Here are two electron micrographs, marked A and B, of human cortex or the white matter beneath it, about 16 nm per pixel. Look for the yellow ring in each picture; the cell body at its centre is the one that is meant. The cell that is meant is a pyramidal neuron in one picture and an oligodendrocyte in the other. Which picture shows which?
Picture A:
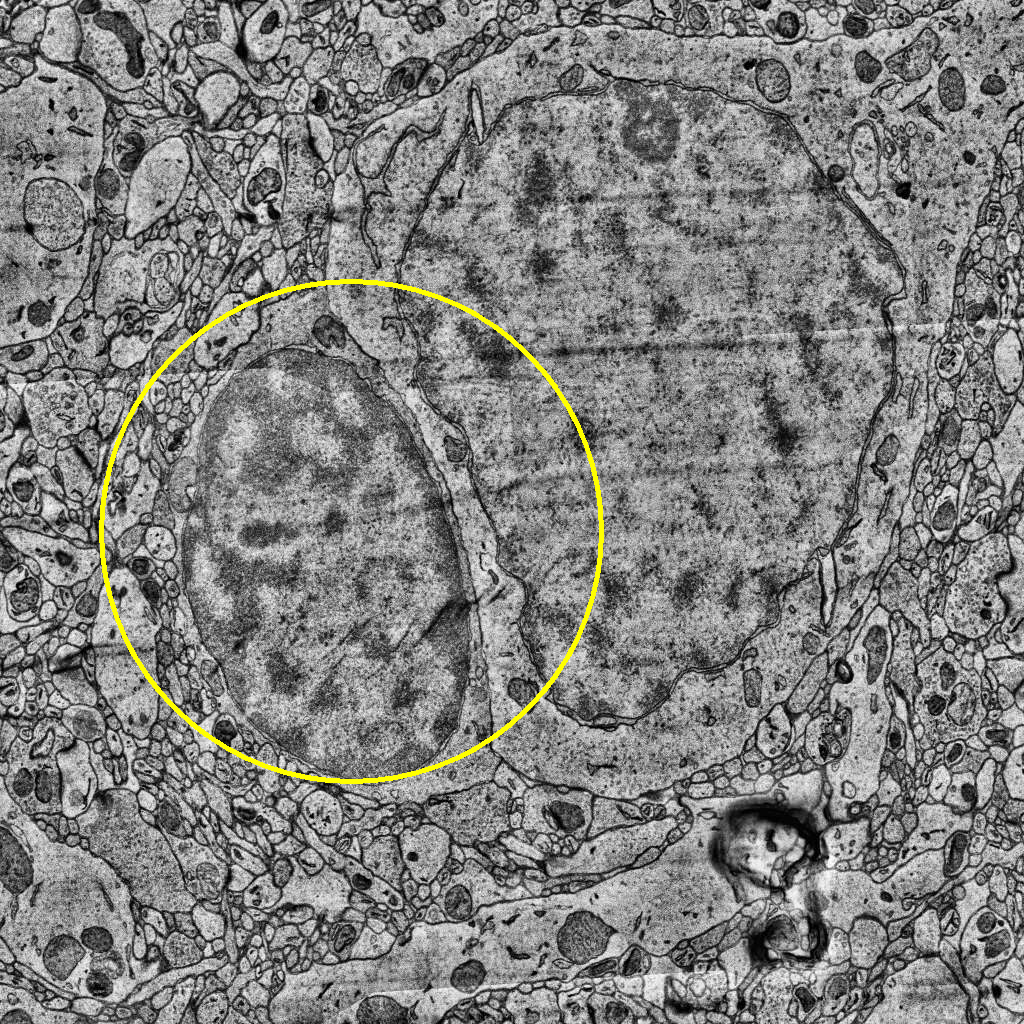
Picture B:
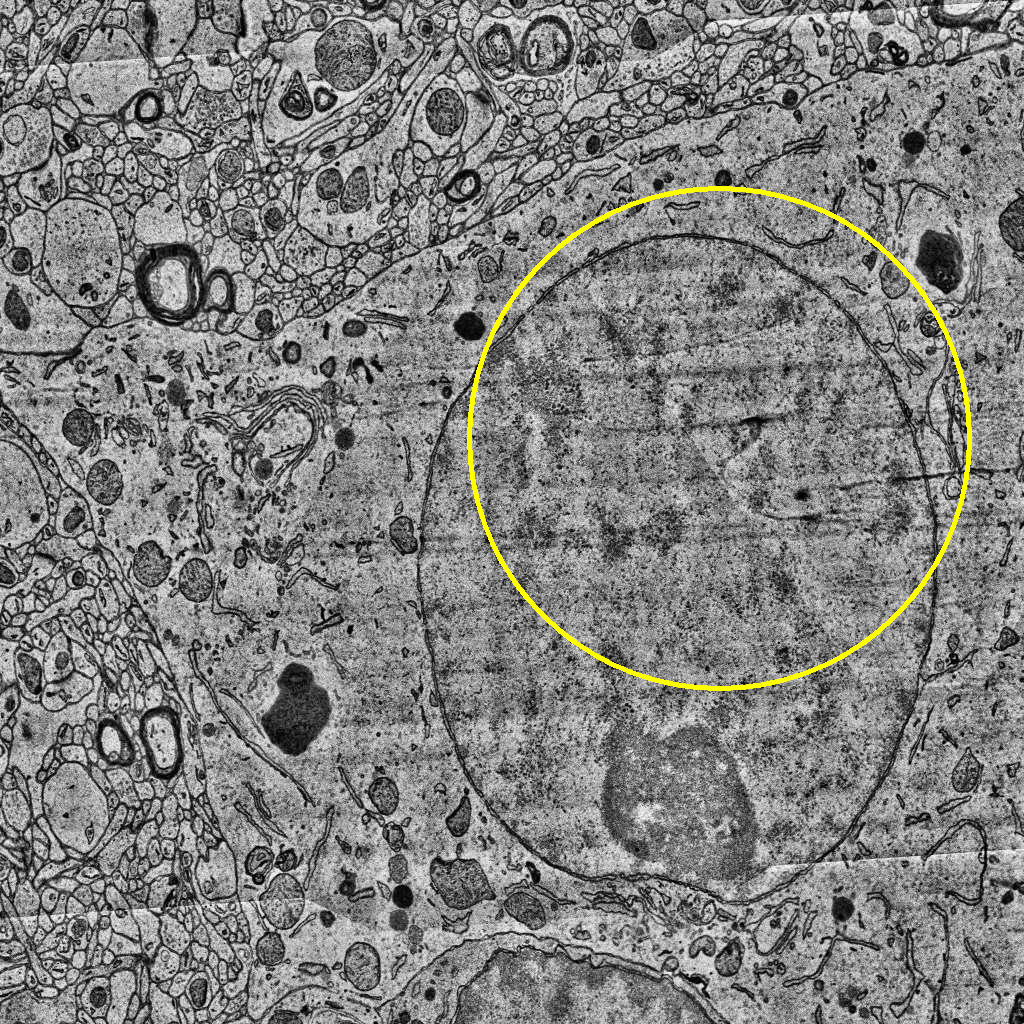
Picture B shows a pyramidal neuron, while picture A shows an oligodendrocyte.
